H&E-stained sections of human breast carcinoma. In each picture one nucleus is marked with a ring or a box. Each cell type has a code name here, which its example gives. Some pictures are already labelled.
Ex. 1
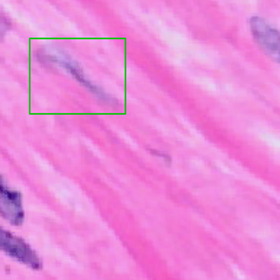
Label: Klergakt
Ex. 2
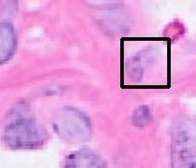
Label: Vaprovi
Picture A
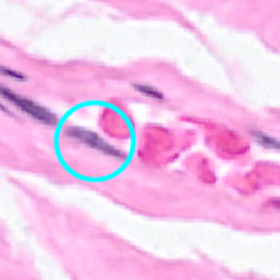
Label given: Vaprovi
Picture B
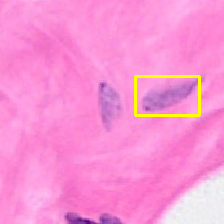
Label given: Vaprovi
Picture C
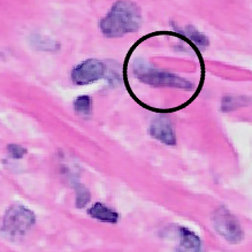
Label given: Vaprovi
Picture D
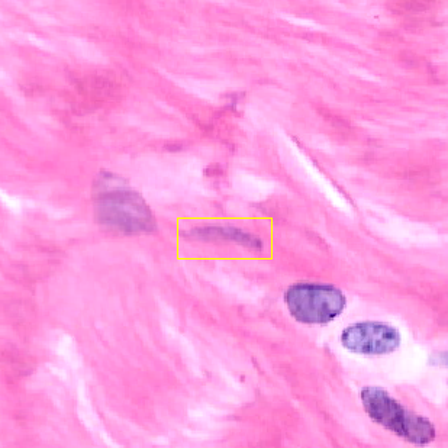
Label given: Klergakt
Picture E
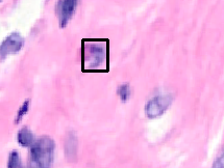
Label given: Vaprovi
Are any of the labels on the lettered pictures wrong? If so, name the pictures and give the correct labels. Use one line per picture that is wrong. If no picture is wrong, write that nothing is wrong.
B: change Vaprovi to Klergakt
